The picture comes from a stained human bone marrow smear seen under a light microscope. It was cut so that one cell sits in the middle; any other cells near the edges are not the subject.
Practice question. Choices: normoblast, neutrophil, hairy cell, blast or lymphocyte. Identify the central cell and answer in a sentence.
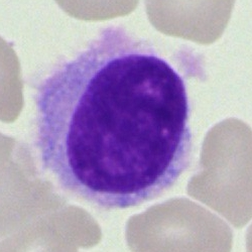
Seen at the centre of the crop is a hairy cell.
